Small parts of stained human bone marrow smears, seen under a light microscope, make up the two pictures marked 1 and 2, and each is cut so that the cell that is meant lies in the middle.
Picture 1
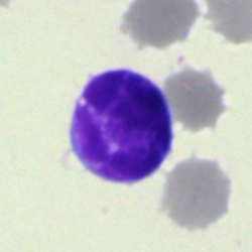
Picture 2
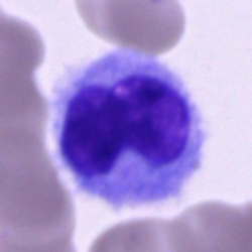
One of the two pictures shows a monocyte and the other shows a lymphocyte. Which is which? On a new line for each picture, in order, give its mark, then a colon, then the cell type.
1: lymphocyte
2: monocyte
